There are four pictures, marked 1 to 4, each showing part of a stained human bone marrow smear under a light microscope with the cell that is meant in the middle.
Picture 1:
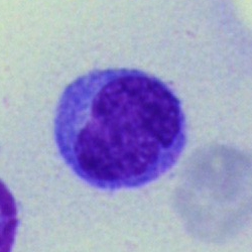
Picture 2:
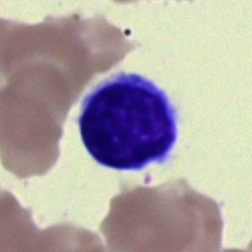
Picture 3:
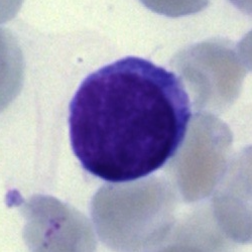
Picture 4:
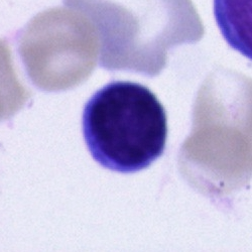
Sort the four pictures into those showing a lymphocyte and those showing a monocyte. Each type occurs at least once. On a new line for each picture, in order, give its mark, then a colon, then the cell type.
1: monocyte
2: lymphocyte
3: lymphocyte
4: lymphocyte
